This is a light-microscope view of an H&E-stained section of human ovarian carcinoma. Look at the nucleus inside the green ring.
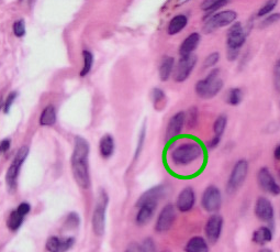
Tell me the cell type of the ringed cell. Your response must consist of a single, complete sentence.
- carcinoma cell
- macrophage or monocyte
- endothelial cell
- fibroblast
On this particular slide, the ringed cell is an endothelial cell.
